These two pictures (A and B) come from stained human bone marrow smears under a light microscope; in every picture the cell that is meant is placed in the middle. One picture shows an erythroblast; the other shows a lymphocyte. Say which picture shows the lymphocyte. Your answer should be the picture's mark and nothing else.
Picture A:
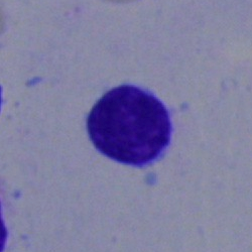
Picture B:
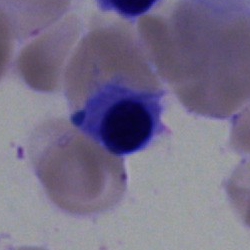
A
